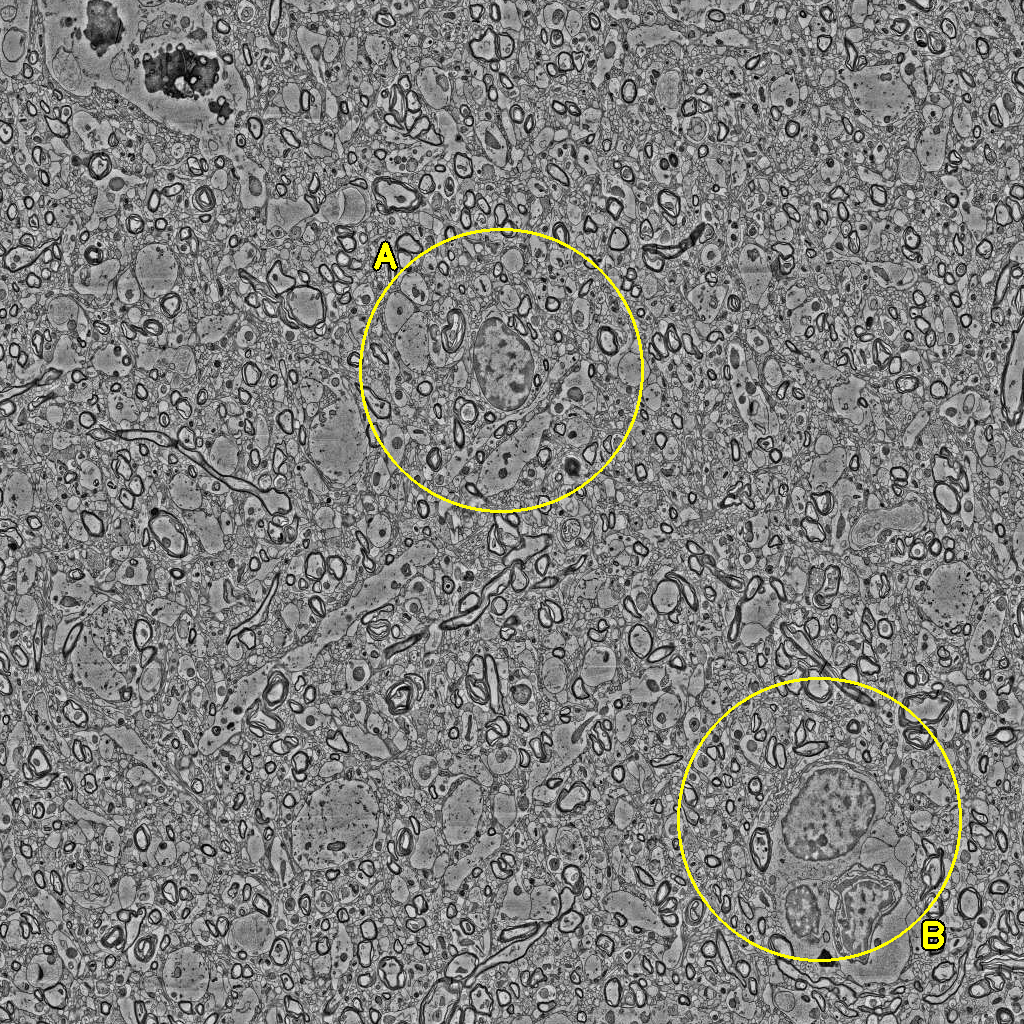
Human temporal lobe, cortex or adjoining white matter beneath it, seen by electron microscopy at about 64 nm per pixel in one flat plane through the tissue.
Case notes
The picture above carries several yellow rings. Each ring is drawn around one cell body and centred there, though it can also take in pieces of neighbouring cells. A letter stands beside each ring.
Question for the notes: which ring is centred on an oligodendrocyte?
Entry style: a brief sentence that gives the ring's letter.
Ring B is centred on it.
